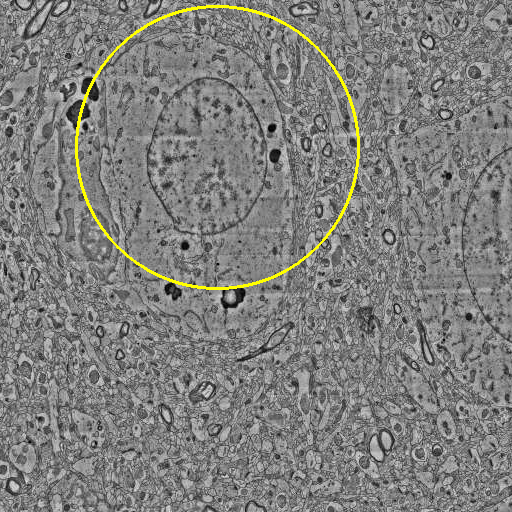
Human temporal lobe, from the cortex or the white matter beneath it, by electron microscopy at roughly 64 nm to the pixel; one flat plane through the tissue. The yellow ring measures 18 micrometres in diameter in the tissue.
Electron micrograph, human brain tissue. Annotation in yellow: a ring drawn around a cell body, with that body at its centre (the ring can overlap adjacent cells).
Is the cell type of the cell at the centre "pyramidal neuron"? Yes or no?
Yes, it is of that type.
